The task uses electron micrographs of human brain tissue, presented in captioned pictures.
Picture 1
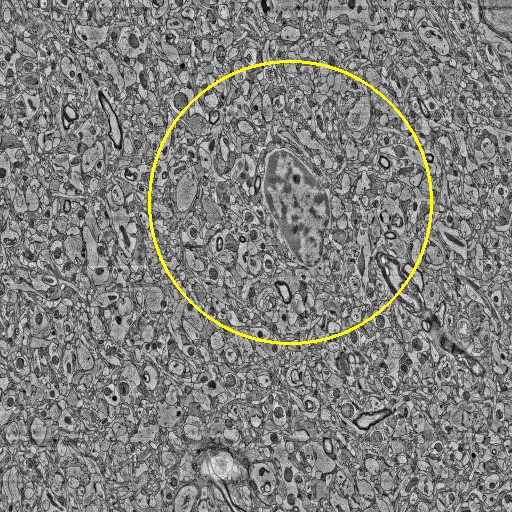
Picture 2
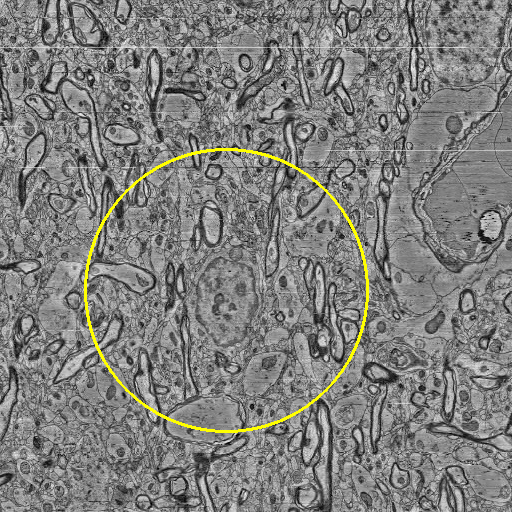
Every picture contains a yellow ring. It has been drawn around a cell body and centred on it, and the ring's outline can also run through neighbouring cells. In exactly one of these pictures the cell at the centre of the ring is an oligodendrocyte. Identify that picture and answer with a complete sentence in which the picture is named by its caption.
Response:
The ring in Picture 2 is centred on that kind of cell.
